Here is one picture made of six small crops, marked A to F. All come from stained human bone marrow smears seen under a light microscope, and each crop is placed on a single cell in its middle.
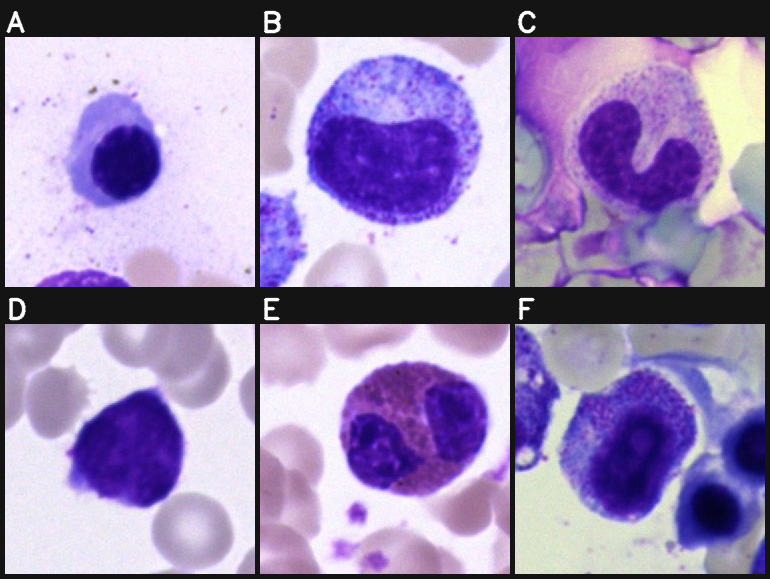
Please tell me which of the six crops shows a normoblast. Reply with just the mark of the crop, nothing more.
A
